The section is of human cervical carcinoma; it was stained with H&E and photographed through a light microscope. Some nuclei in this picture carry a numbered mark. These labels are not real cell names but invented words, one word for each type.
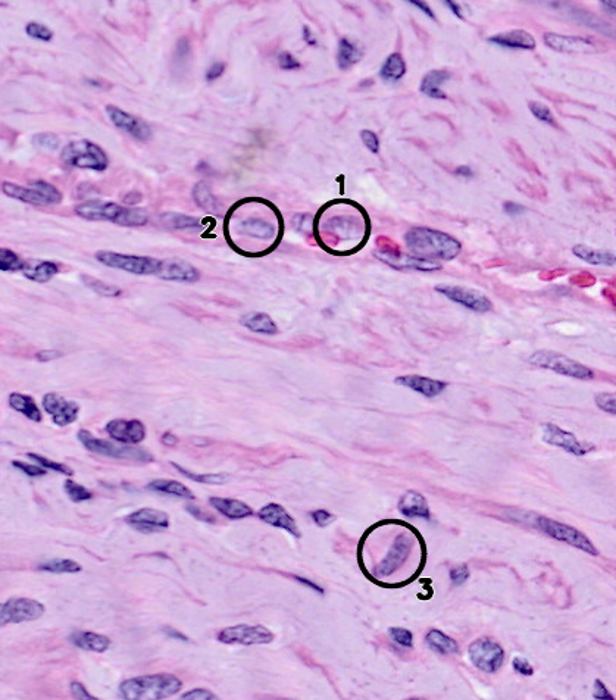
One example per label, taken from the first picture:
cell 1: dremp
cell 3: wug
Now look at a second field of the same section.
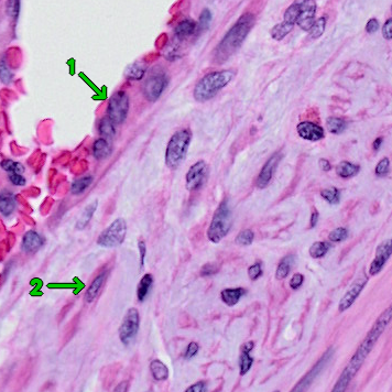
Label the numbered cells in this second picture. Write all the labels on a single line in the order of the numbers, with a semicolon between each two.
dremp; wug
